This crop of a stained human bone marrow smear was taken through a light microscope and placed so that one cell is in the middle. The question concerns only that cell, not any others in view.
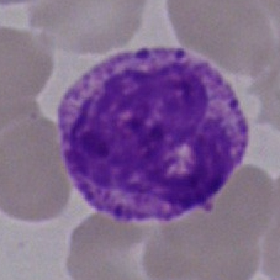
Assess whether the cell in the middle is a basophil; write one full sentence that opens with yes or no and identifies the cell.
Yes, the cell located at the center is a basophil.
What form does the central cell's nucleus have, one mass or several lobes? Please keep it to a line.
Please observe that the nucleus consists of one compact round, oval or kidney-shaped mass.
